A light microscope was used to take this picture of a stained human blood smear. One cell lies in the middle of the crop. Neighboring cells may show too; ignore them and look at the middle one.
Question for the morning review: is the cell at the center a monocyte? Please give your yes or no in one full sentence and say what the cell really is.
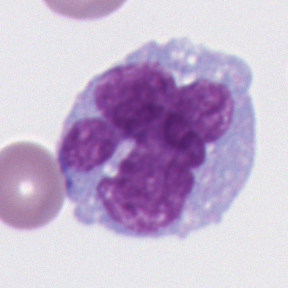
Yes, the cell found in the center of the crop is a monocyte.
